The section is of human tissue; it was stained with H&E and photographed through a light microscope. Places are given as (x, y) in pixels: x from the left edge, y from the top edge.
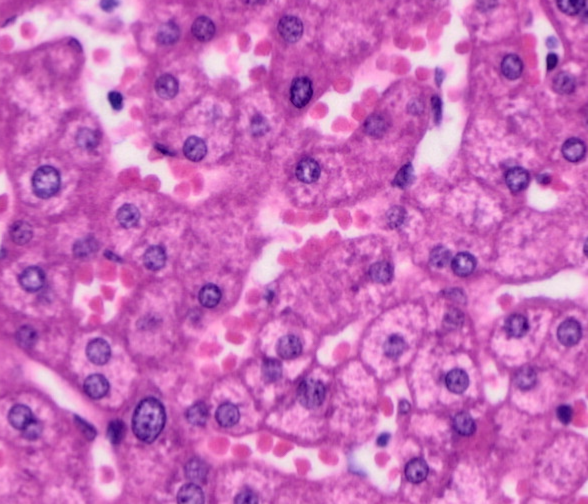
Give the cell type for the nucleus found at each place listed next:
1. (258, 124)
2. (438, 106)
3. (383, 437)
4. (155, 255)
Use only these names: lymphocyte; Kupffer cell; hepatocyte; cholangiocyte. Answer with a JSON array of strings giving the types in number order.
["hepatocyte", "Kupffer cell", "lymphocyte", "hepatocyte"]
